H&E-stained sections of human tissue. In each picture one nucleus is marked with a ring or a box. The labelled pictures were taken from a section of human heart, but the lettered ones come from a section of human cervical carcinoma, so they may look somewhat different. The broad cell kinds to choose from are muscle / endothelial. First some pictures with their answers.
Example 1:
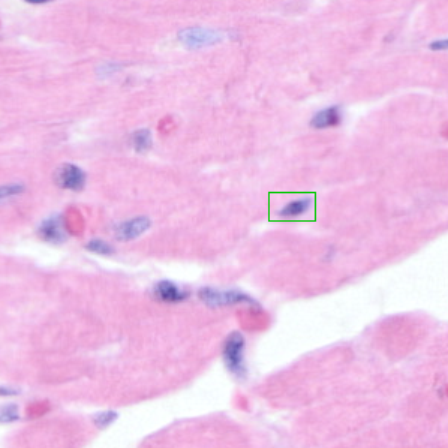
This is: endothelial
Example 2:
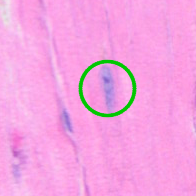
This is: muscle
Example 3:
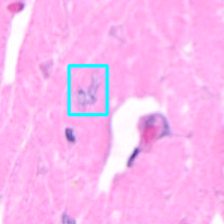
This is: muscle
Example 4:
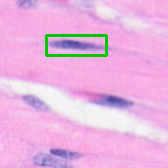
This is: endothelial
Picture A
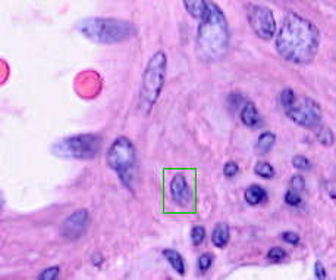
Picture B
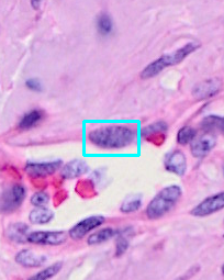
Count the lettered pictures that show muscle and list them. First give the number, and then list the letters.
1: A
